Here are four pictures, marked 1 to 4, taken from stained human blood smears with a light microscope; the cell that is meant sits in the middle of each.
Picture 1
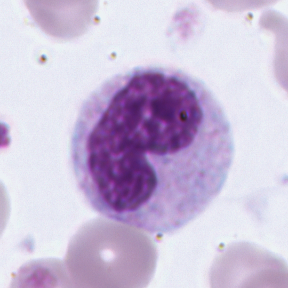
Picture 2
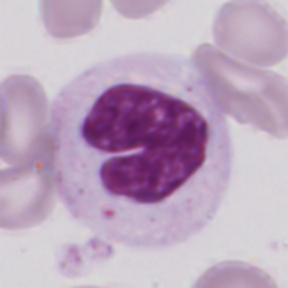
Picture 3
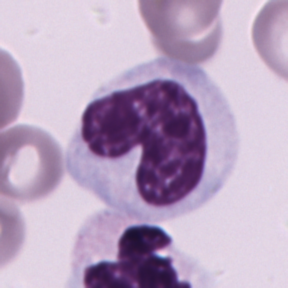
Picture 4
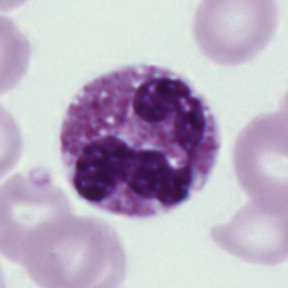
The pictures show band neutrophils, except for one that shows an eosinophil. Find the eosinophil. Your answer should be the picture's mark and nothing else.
4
